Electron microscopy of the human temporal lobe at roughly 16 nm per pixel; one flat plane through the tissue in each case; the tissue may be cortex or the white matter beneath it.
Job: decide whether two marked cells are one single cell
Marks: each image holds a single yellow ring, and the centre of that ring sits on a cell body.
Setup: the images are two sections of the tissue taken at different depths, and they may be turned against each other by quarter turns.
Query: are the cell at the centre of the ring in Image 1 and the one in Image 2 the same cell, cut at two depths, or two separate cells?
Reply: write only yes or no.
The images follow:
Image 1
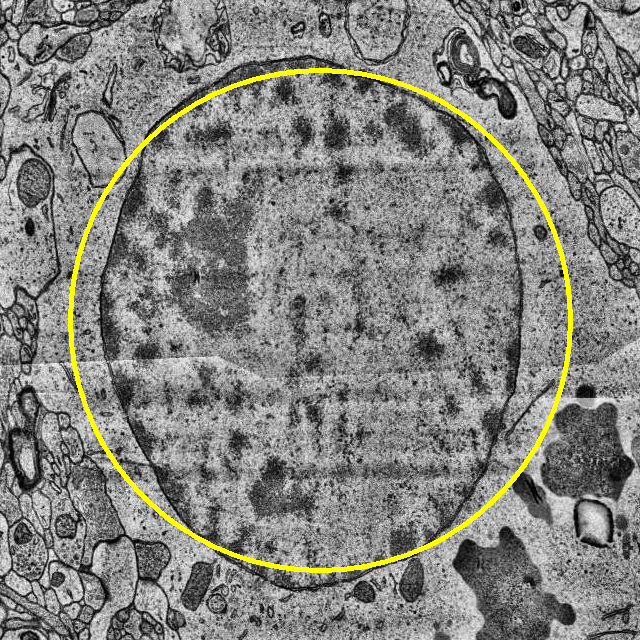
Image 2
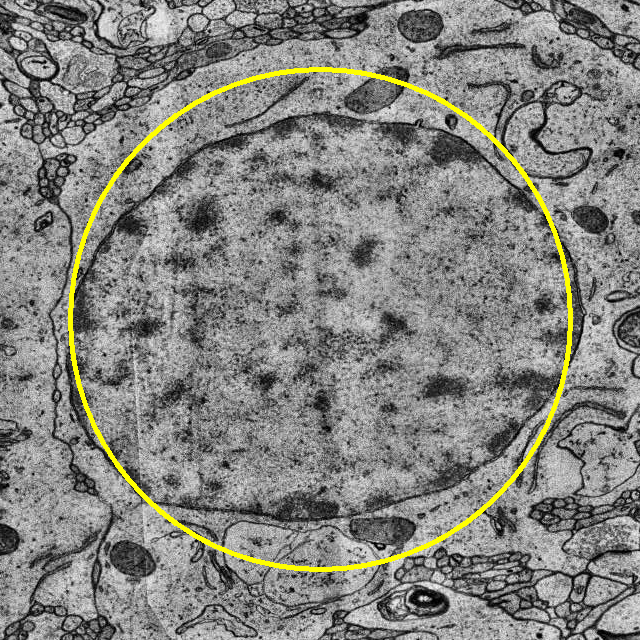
yes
